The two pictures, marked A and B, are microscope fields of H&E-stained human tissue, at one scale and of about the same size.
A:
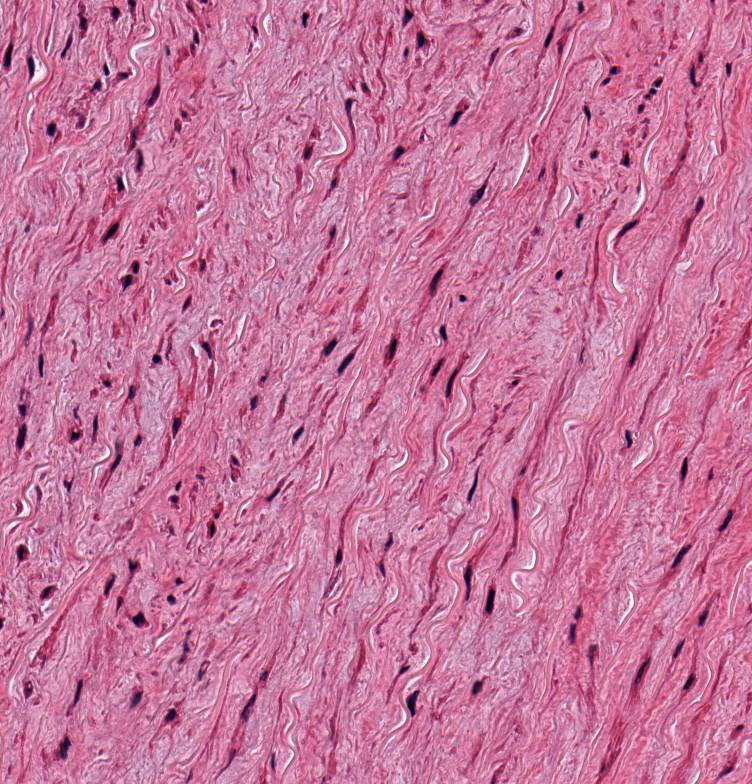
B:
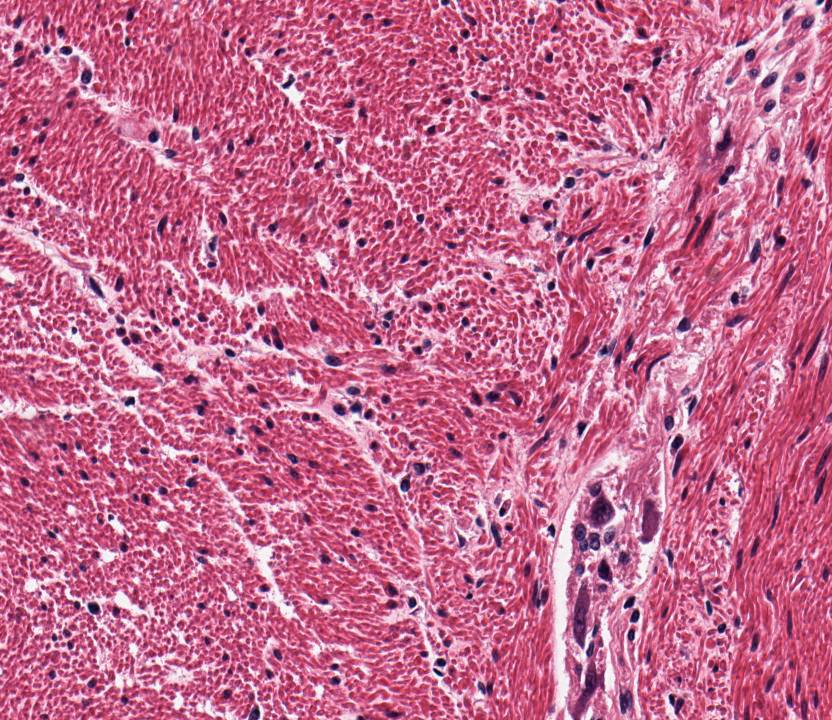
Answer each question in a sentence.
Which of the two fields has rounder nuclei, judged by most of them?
It is field B whose nuclei are the rounder.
